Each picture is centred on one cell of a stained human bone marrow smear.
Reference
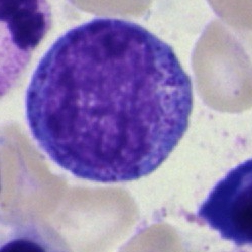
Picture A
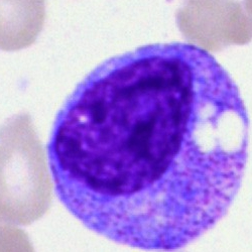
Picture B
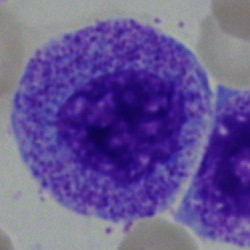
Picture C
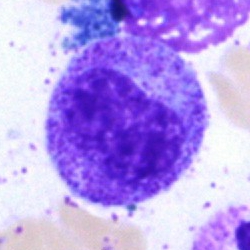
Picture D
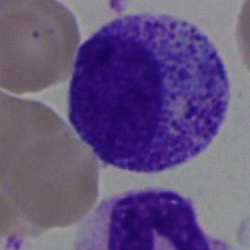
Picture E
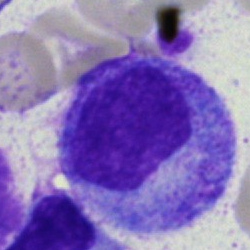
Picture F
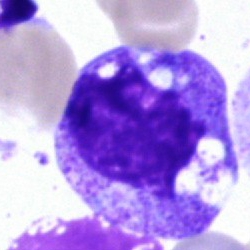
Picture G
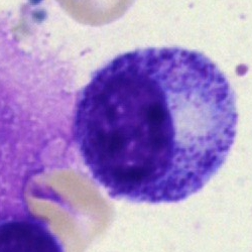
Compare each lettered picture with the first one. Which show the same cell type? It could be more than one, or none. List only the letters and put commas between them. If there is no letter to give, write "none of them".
A, B, F, G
